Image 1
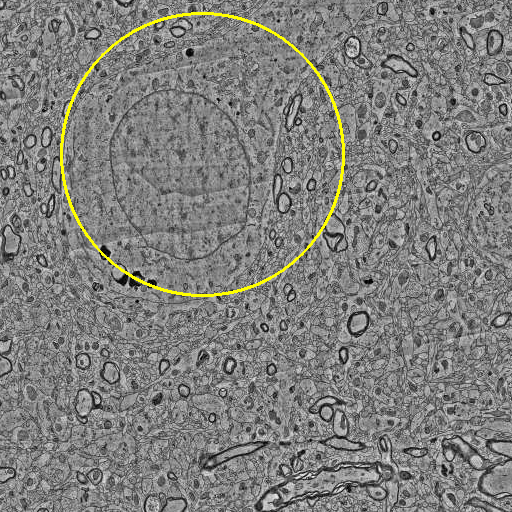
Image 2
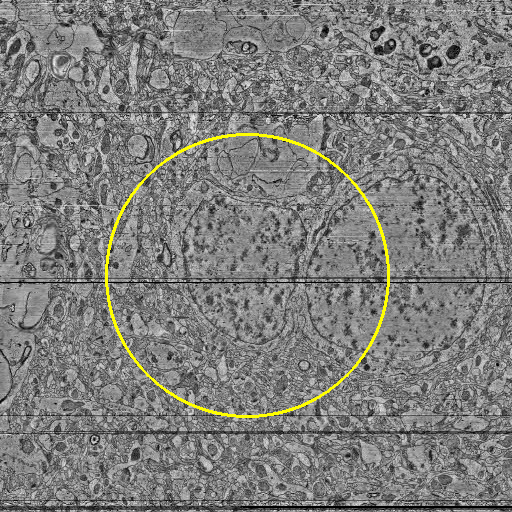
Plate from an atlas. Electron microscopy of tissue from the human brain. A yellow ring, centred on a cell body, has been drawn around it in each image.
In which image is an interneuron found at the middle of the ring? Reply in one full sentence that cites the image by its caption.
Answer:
The requested cell is the one at the ring's centre in Image 2.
